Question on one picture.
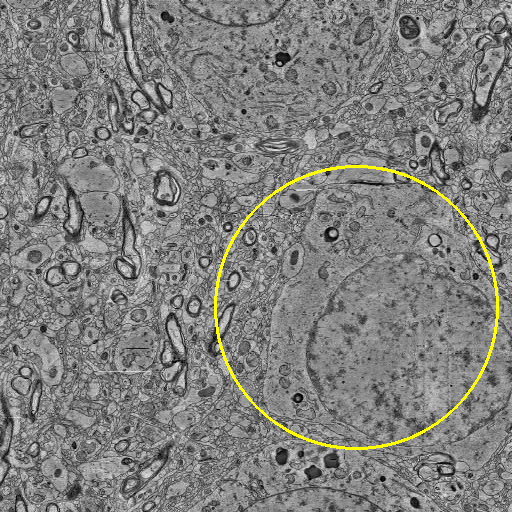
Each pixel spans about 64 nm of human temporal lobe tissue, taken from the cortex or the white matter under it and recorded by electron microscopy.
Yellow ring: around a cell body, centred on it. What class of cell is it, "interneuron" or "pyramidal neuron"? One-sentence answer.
This is an interneuron, the cell the ring is centred on.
